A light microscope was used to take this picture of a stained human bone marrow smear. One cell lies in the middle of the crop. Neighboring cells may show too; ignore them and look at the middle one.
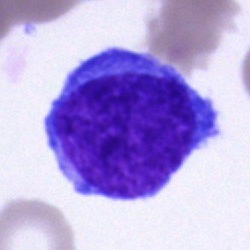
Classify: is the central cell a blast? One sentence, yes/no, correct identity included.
Yes, the cell at the crop's center is a blast.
